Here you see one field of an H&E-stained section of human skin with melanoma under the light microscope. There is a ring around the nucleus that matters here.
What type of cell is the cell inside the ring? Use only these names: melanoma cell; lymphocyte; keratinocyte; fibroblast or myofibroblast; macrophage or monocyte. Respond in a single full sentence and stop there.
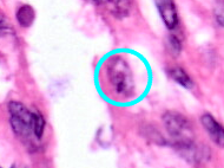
Just put down that the cell inside the ring is a melanoma cell.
